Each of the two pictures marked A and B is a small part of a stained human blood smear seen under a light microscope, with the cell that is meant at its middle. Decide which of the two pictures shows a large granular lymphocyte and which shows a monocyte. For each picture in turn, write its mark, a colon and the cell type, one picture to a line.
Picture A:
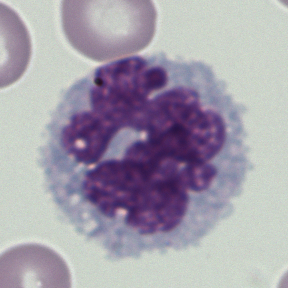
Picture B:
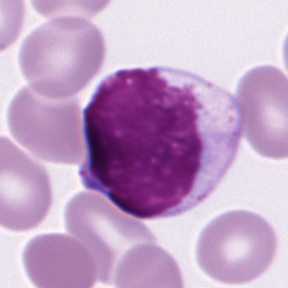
A: monocyte
B: large granular lymphocyte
